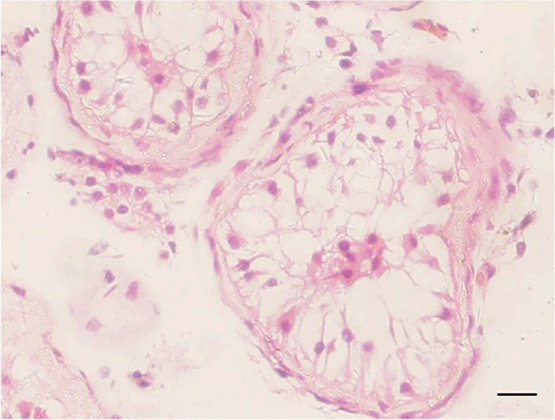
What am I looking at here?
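Testicular tissue is cut in cross-section and shows rounded tubules. Each tubule is lined only by tall cells with pale, clear, vacuolated cytoplasm, and fine pink strands cross the tubule. Their oval purple nuclei lie scattered, mostly toward the base. The many-layered population of rounded cells with large dark nuclei seen in a normal tubule is not present. The tubule walls are pink and appear thickened, with flattened cells lying around them. Between the tubules, loose pale interstitial tissue holds scattered small cells.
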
